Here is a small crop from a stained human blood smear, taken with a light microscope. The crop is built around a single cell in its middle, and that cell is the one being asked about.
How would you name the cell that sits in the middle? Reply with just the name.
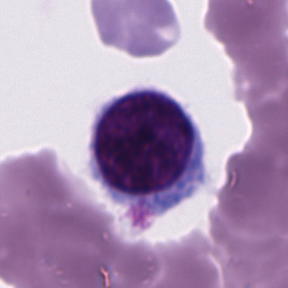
hairy cell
